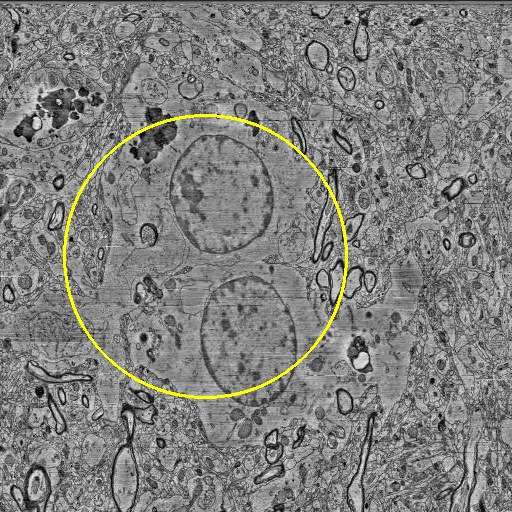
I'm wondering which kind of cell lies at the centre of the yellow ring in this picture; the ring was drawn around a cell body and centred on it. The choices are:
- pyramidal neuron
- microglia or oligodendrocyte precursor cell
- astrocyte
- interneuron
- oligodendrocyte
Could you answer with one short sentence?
At the centre of the ring lies an astrocyte.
